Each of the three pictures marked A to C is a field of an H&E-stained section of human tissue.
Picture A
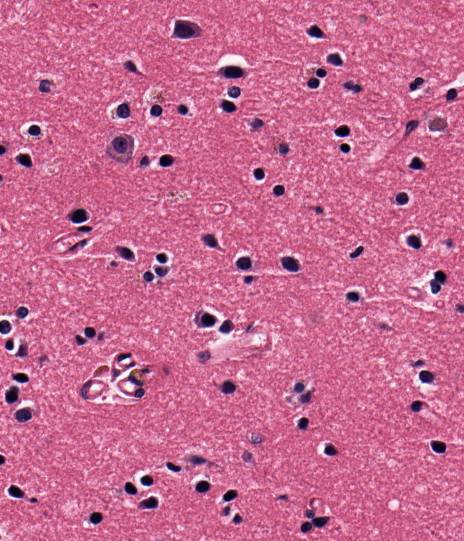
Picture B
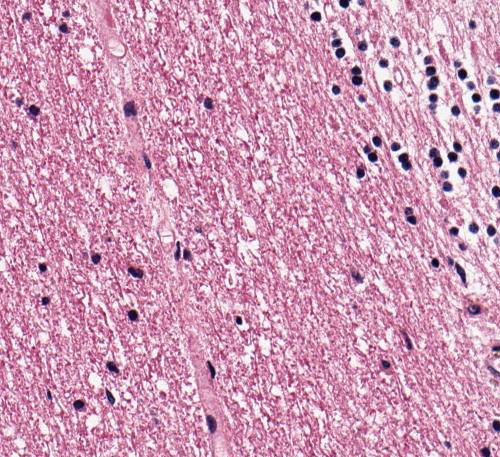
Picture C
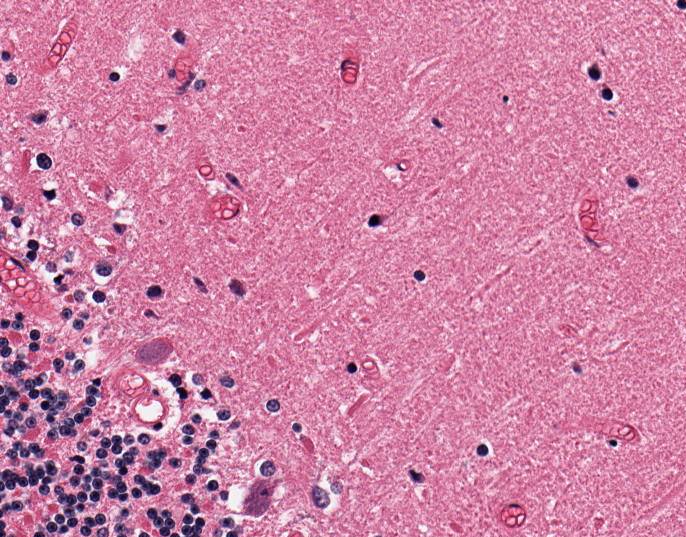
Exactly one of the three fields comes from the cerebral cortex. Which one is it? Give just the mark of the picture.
A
